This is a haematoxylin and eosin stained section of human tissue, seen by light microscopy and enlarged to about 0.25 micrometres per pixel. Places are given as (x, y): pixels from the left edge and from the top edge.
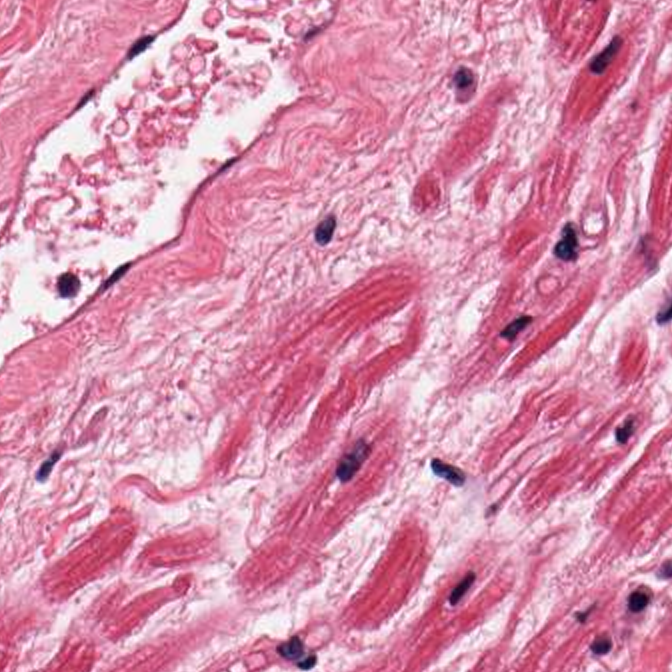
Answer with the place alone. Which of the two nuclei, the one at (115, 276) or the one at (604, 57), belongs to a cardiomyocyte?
(604, 57)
